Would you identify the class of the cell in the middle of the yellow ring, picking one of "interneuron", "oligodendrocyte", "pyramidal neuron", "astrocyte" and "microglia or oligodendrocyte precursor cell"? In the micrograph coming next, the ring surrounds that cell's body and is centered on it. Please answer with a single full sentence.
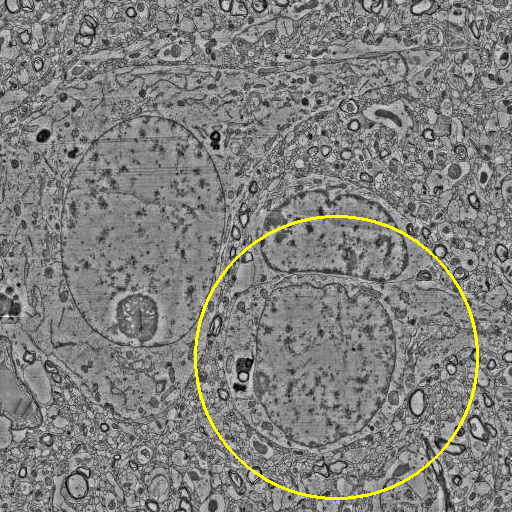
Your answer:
In the micrograph, it is a pyramidal neuron whose body lies at the ring's center.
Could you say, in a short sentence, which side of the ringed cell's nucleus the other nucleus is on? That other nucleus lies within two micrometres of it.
The other nucleus can be seen above it.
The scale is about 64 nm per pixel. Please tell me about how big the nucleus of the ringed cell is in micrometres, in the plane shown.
Approximately 10 micrometres across, in this plane.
